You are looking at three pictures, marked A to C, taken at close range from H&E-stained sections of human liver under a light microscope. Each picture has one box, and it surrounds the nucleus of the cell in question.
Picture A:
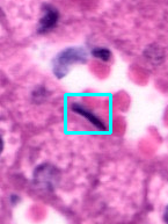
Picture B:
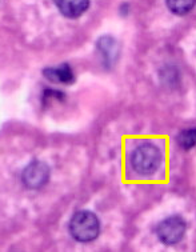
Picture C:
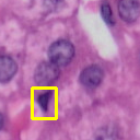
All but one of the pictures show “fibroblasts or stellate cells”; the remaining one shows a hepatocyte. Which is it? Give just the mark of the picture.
B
